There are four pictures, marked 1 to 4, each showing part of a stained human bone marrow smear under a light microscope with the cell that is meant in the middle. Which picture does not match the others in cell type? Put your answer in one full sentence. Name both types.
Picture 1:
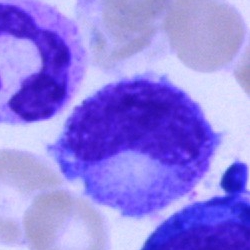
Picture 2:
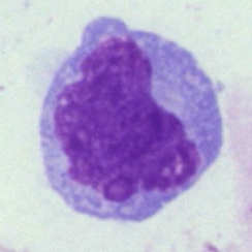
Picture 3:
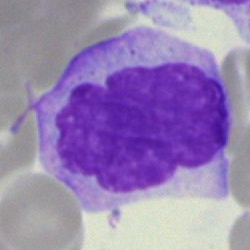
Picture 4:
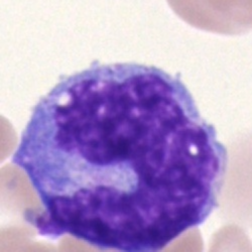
The different one is picture 1; it shows a metamyelocyte, whereas all the others show monocytes.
